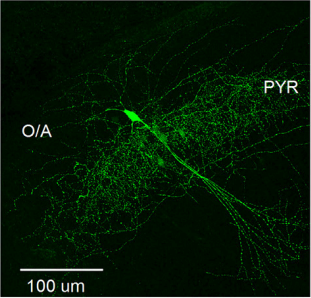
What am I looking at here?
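The soma is fusiform and lies in the oriens/alveus region near the border of the pyramidal layer. Several long, thin dendrites leave the soma and spread across layers, some fanning out toward the lower right. The axon far exceeds the dendrites in branching density.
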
